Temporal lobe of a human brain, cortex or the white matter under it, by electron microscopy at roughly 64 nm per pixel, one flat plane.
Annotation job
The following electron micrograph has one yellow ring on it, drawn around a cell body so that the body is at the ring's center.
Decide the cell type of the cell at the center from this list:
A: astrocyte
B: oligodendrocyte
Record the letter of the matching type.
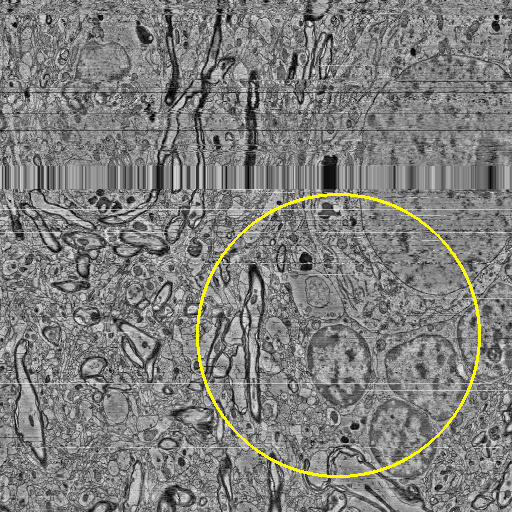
B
